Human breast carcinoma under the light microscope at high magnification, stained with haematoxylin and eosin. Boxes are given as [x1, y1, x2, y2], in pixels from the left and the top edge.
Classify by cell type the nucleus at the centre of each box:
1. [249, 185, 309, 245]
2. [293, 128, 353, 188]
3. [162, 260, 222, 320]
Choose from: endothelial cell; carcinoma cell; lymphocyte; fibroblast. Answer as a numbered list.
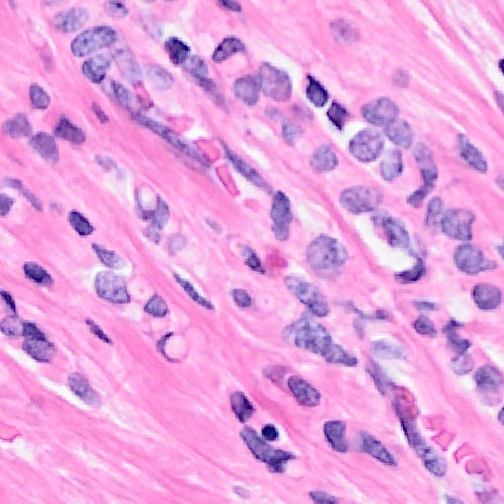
1. endothelial cell
2. carcinoma cell
3. fibroblast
